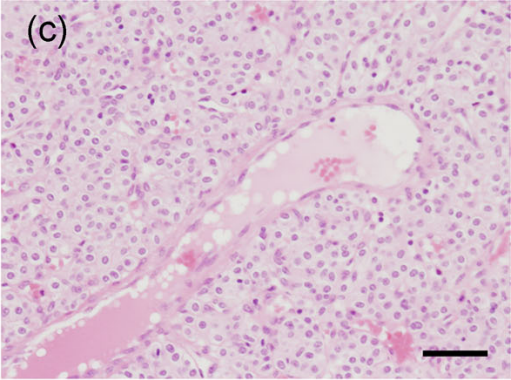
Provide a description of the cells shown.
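This is a cellular tumor made of round-to-oval tumor cells arranged in solid sheets around a small vessel. A thin-walled vascular channel crosses the field diagonally, its lumen holding pale pink proteinaceous fluid with a few clustered red blood cells and small clear spaces. Nuclear pleomorphism is slight and no large bizarre cells are evident. The cells abut the vessel wall directly, with little intervening stroma.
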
